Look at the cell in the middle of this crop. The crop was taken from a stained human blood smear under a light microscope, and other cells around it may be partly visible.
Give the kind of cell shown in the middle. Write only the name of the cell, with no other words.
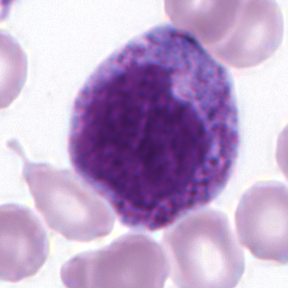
promyelocyte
